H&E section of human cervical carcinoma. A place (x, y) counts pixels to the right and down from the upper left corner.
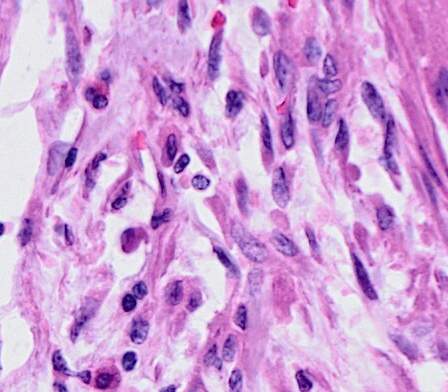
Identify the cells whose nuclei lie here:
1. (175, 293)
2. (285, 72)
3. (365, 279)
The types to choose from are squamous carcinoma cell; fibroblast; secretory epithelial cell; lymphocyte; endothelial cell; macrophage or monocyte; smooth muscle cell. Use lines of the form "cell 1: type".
cell 1: macrophage or monocyte
cell 2: endothelial cell
cell 3: fibroblast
